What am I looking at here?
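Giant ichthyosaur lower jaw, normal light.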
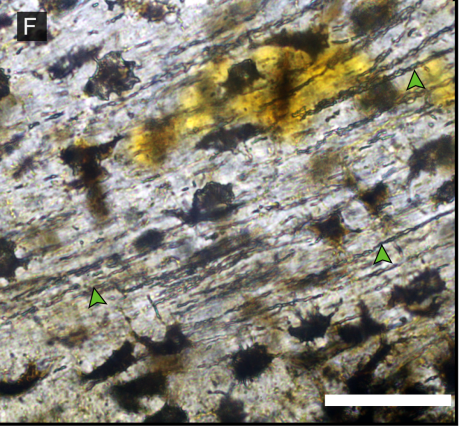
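Fossil bone matrix at high magnification, pale grey to cream with a yellowish patch in the upper middle. Scattered through it are dark osteocyte lacunae of irregular shape, some spidery with many fine branching extensions, others blotchy and elongated. The lacunae lie between and along these streaks rather than in any regular rows.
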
